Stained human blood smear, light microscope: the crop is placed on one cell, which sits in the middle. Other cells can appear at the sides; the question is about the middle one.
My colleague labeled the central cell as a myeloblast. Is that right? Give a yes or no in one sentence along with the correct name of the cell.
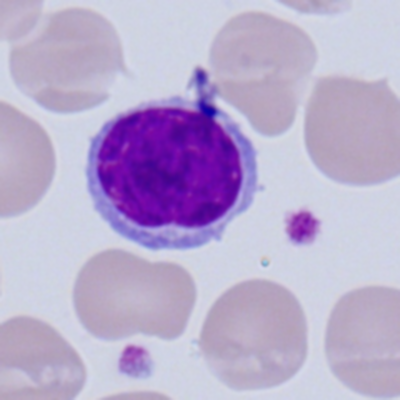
No, the middle of the crop holds a lymphocyte, not a myeloblast.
